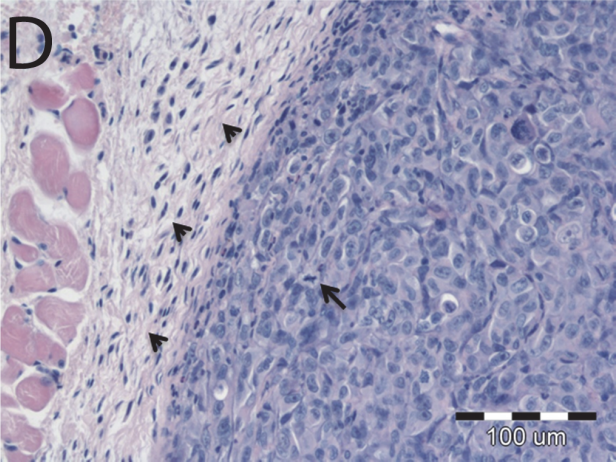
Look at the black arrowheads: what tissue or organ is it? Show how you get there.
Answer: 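Fibrous capsule. The arrowheads lie in a pale pink band of loose fibrous tissue with thin, elongated nuclei. The band runs diagonally between the dense cellular mass on the right and pink muscle fibres on the left.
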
